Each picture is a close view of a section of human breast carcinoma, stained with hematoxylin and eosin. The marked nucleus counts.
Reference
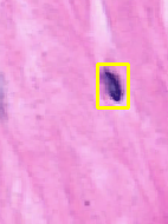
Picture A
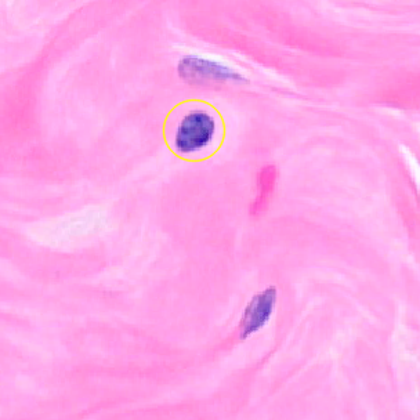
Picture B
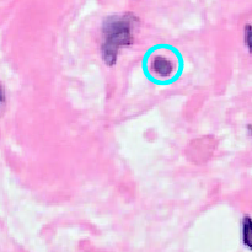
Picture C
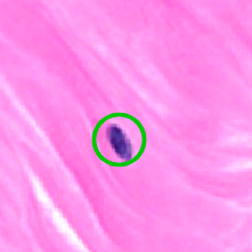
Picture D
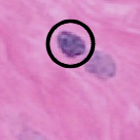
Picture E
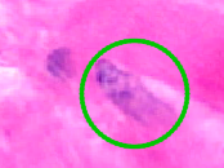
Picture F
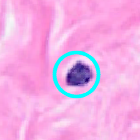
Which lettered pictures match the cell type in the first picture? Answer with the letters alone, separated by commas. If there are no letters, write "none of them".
A, B, C, D, F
